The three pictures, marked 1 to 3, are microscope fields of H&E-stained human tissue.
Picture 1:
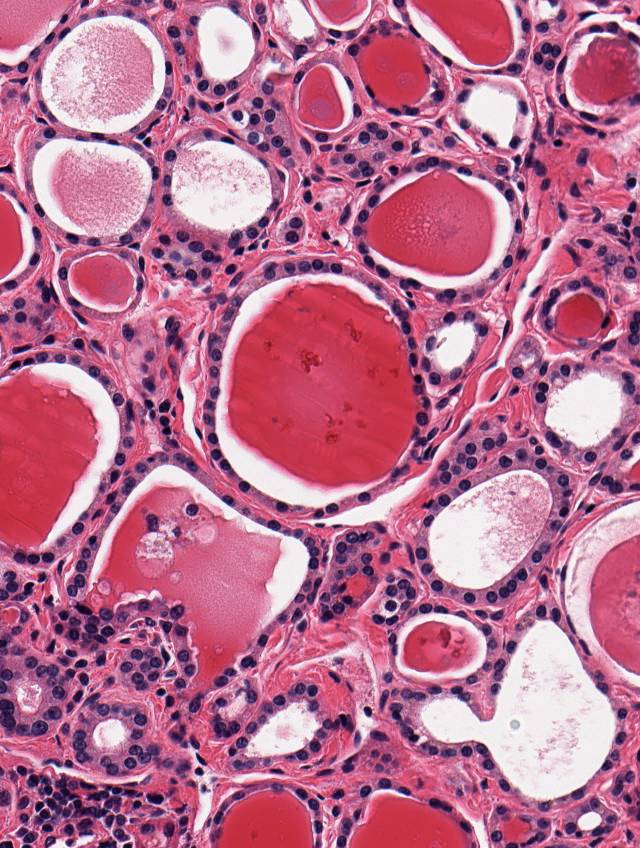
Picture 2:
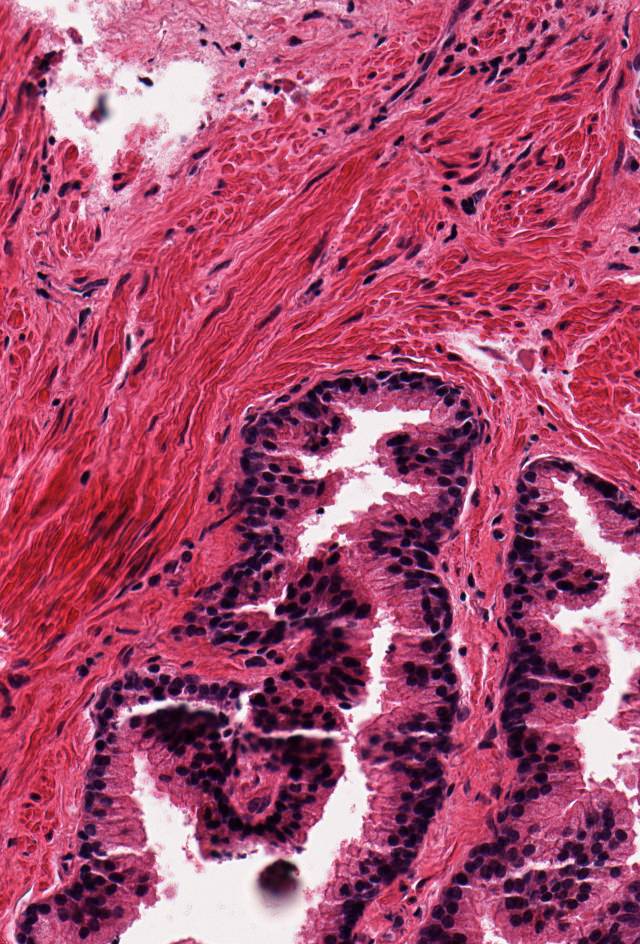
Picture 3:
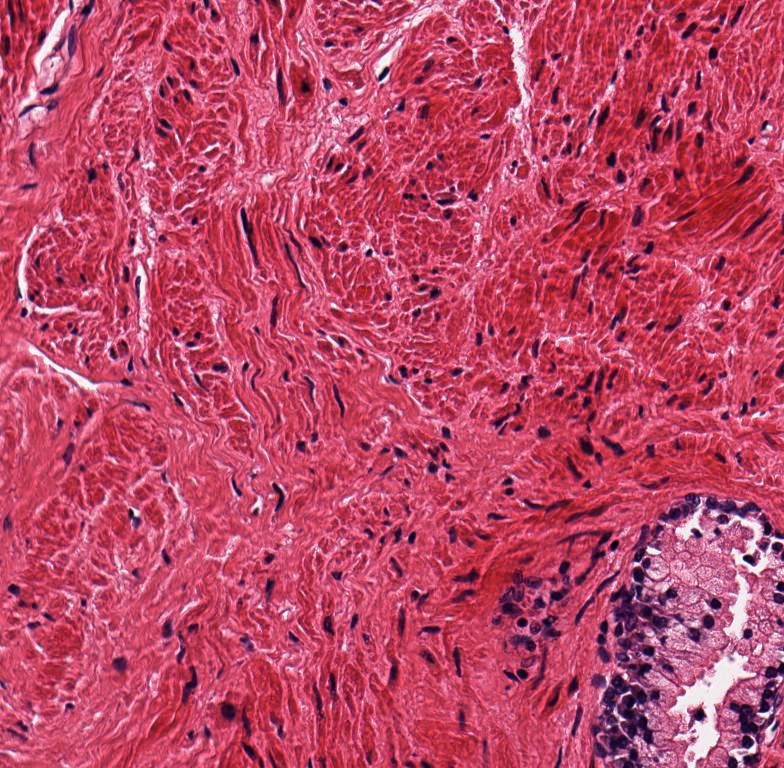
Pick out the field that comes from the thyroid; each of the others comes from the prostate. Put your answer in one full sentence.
It is picture 1 that comes from the thyroid.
